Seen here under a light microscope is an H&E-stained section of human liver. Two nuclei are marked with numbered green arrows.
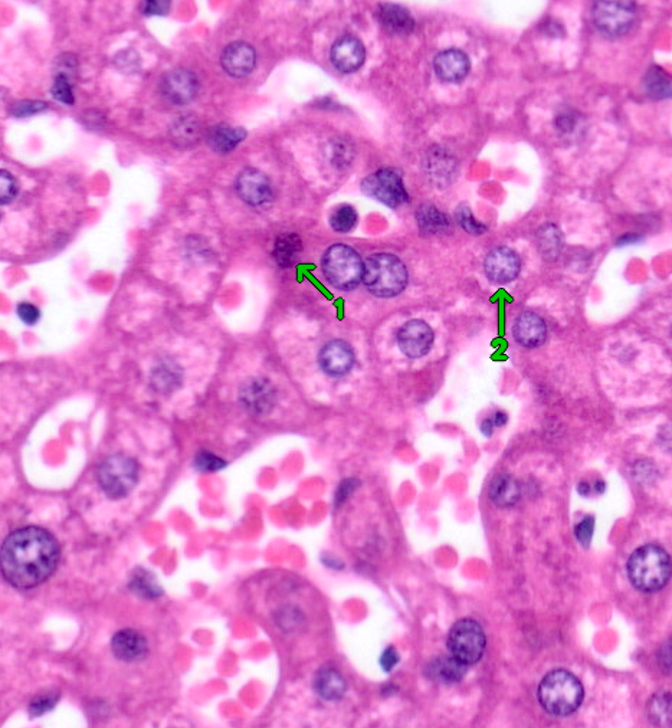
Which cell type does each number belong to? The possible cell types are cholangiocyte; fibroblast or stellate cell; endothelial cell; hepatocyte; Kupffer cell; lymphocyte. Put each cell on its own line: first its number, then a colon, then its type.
1: fibroblast or stellate cell
2: hepatocyte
